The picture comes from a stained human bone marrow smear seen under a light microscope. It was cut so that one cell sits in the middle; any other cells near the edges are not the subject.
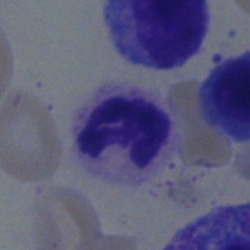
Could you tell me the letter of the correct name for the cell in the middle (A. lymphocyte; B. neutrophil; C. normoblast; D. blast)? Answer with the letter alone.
B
